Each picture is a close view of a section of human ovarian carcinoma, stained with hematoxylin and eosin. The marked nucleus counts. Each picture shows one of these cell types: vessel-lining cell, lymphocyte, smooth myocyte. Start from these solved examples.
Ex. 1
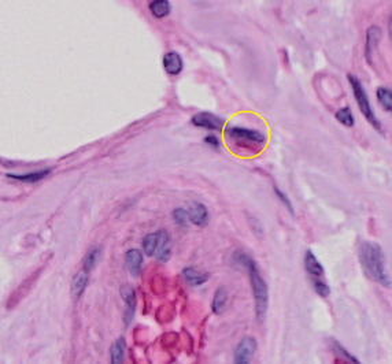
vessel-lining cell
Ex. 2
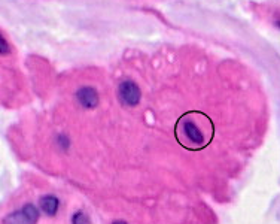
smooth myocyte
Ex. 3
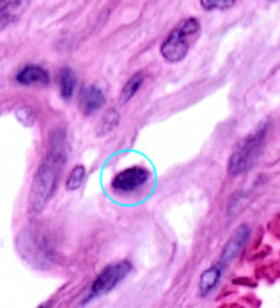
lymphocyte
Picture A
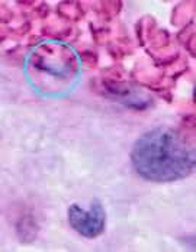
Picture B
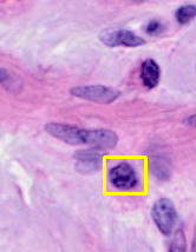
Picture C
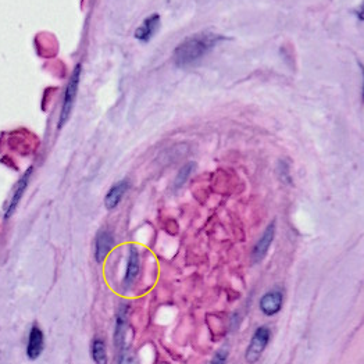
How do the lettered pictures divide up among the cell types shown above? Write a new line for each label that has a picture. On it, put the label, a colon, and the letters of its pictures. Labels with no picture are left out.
vessel-lining cell: A, C
lymphocyte: B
